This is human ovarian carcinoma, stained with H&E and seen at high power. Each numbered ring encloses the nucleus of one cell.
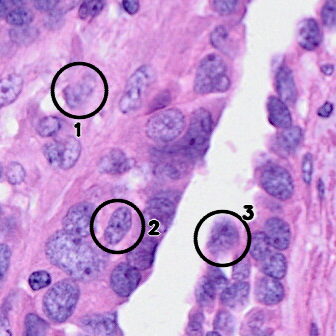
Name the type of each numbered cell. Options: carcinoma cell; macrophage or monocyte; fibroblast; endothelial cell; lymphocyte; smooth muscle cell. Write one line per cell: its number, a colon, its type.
1: fibroblast
2: macrophage or monocyte
3: carcinoma cell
